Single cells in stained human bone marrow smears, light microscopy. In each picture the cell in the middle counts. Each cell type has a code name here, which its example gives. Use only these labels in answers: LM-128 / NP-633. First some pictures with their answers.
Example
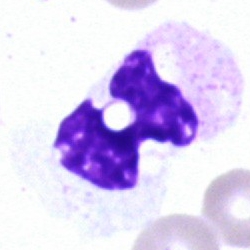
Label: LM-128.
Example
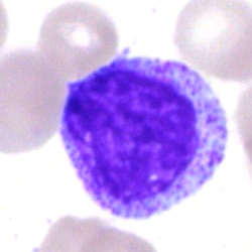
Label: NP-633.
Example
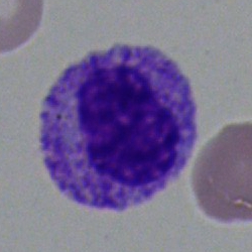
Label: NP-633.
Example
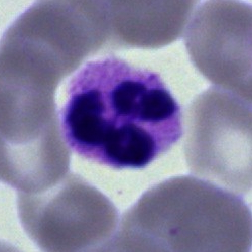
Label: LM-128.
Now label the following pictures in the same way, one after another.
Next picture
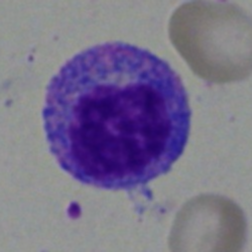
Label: NP-633.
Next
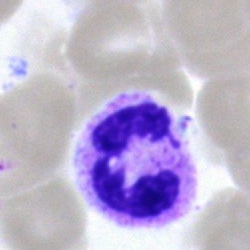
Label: LM-128.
